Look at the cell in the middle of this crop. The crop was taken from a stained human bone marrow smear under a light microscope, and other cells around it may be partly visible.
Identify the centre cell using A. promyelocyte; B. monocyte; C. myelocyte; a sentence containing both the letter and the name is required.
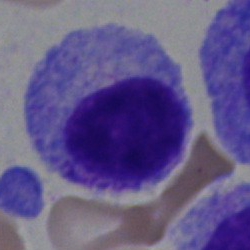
As the central cell is a myelocyte, option C is correct.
